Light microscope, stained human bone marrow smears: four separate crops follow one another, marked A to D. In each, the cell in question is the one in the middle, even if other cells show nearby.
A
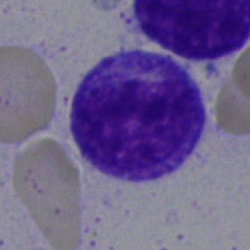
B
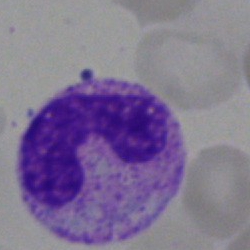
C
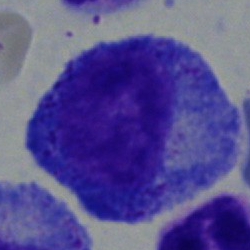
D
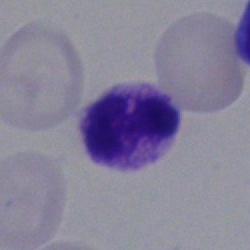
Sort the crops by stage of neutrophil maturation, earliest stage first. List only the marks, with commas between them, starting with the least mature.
C, A, B, D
